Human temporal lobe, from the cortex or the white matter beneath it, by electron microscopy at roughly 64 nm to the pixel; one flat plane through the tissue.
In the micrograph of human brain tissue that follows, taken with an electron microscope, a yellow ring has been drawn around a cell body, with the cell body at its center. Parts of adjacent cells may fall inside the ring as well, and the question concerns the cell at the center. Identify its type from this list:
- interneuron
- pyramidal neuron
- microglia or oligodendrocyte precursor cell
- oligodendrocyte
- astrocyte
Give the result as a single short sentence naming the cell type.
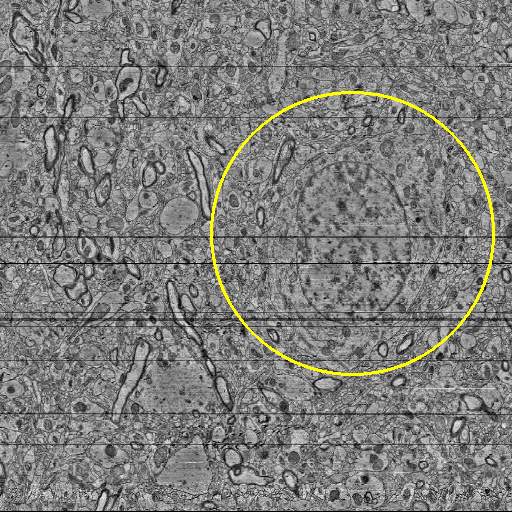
The ring is centered on an interneuron.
